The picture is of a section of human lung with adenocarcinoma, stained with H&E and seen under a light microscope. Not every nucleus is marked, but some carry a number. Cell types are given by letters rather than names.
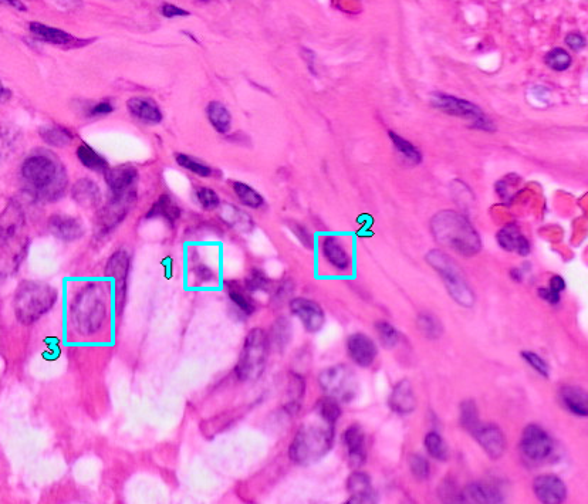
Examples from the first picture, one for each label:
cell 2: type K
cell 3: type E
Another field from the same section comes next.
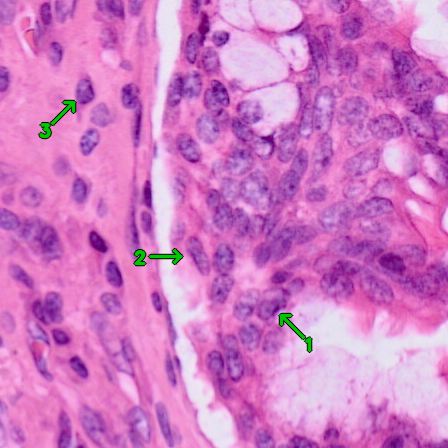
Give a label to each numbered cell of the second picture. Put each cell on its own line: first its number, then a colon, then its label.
1: type E
2: type E
3: type K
